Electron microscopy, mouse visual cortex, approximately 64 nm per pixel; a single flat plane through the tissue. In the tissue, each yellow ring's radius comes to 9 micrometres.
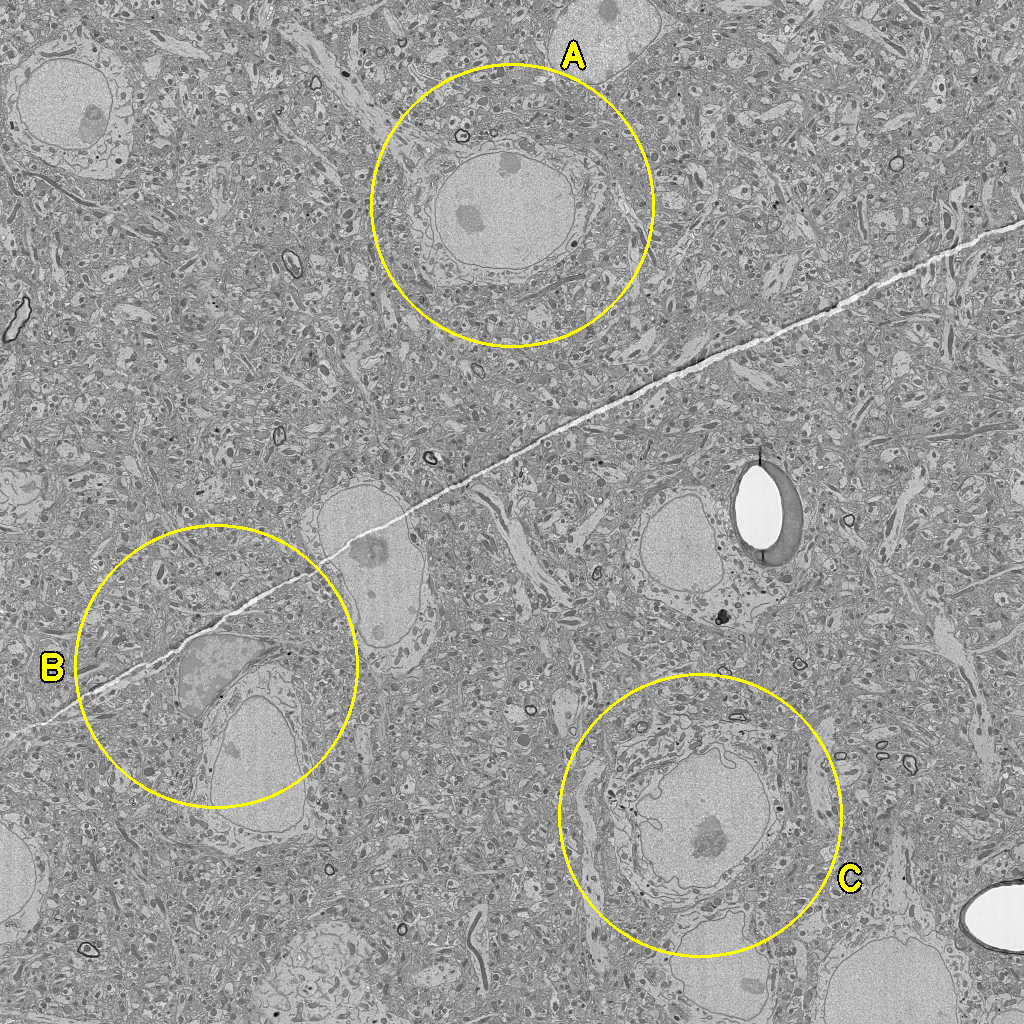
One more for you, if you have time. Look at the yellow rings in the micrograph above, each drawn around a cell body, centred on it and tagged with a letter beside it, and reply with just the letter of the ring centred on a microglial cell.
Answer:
B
